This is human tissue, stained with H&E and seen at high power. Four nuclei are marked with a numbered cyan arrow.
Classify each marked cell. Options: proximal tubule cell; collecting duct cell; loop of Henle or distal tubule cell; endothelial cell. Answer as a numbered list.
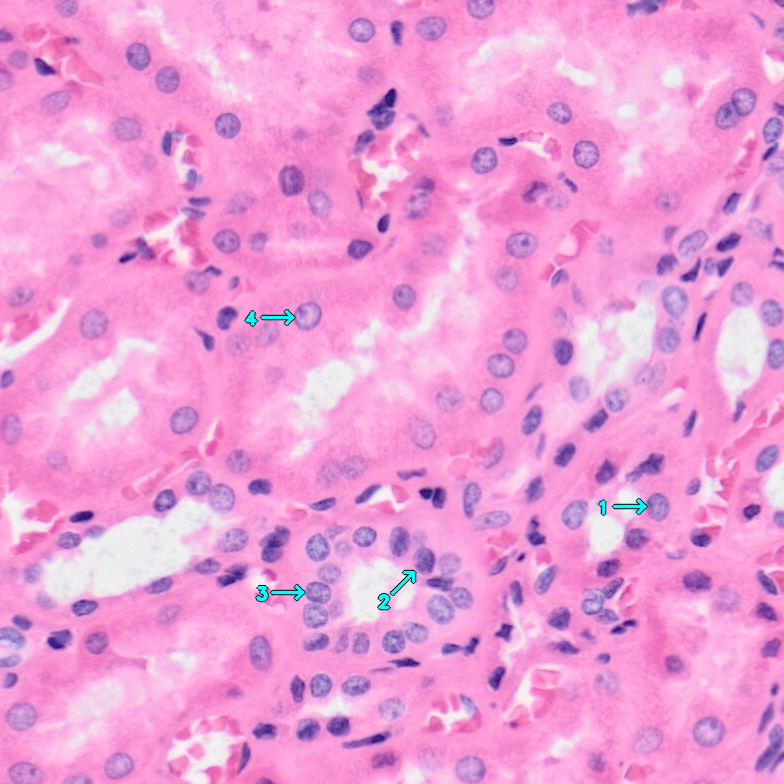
1. loop of Henle or distal tubule cell
2. collecting duct cell
3. collecting duct cell
4. proximal tubule cell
